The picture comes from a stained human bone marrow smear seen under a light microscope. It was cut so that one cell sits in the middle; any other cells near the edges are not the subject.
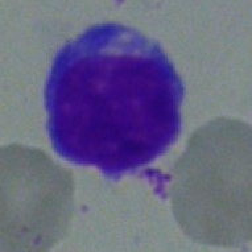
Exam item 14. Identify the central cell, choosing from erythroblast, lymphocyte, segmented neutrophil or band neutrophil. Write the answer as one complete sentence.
In this smear crop, the middle cell is a lymphocyte.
